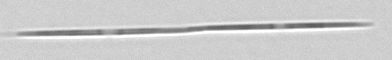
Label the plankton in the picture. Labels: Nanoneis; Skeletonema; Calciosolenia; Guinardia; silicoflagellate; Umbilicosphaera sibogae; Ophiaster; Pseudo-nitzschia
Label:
Pseudo-nitzschia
